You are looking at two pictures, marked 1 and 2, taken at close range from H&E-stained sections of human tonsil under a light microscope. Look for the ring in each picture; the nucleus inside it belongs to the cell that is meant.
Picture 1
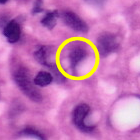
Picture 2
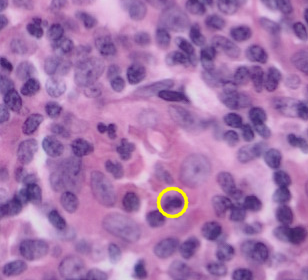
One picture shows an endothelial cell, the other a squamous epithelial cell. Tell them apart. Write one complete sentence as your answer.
In picture 1 the cell is a squamous epithelial cell; in picture 2, an endothelial cell.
